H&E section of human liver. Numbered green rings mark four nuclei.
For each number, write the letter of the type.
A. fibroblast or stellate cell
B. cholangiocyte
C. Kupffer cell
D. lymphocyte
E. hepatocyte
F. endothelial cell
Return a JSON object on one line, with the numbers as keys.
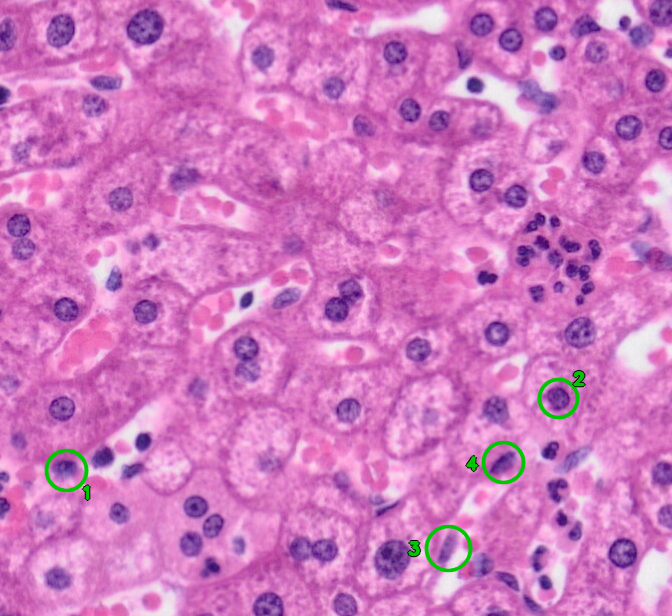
{"1": "A", "2": "E", "3": "C", "4": "A"}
